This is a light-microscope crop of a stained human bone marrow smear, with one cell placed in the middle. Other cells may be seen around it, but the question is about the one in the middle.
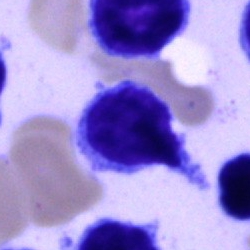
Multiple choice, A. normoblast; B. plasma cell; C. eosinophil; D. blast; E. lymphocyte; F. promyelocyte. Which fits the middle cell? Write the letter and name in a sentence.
According to option E, which is correct, the cell in the middle is a lymphocyte.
